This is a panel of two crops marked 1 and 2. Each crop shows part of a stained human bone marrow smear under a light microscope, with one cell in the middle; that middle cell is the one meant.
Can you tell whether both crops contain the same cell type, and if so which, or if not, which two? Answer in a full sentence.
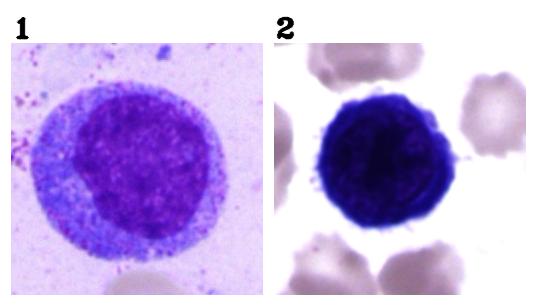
No, mark crop 1 as a promyelocyte and crop 2 as a proerythroblast.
